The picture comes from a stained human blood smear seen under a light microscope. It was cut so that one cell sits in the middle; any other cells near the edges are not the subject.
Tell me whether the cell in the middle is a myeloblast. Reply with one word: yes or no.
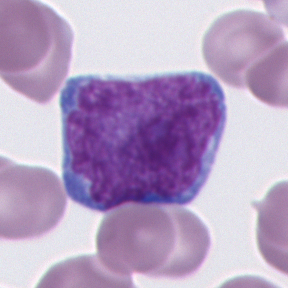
yes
